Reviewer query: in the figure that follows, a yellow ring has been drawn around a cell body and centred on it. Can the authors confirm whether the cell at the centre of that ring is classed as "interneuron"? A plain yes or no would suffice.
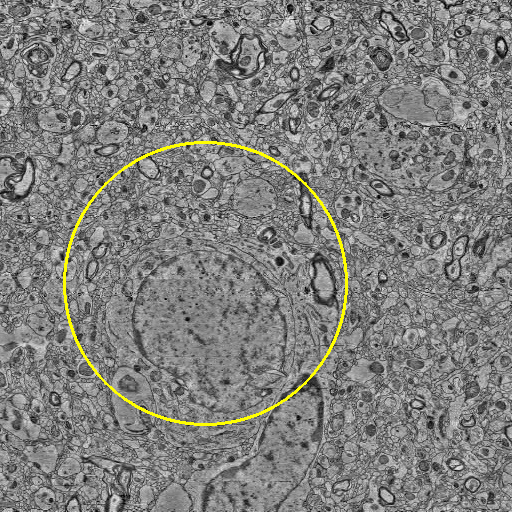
yes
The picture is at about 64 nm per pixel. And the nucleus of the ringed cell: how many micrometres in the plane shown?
In this plane, the nucleus of the cell at the centre of the ring measures about 11 by 9 micrometres.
